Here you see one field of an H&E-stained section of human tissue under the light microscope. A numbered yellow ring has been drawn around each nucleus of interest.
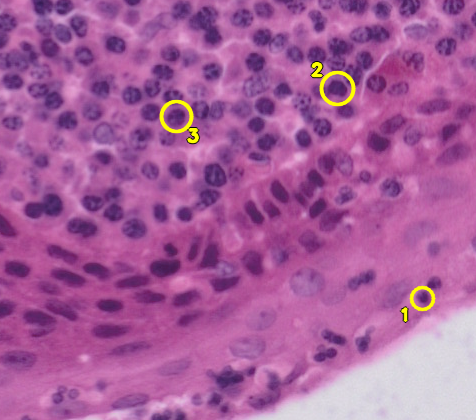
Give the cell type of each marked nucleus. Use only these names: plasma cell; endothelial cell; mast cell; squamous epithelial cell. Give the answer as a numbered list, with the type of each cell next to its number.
1. squamous epithelial cell
2. plasma cell
3. plasma cell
